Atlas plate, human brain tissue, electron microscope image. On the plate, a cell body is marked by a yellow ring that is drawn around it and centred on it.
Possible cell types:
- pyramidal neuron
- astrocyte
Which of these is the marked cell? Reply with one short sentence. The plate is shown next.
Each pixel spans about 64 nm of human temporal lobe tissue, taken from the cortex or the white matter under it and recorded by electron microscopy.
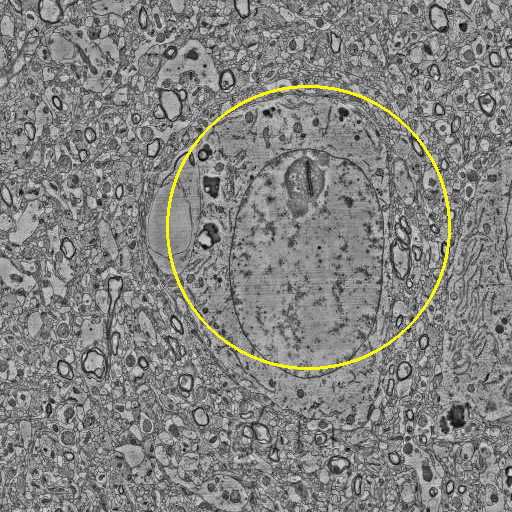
The marked cell is a pyramidal neuron.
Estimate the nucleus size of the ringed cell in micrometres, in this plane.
Roughly 15 micrometres by 11 micrometres, in this plane.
